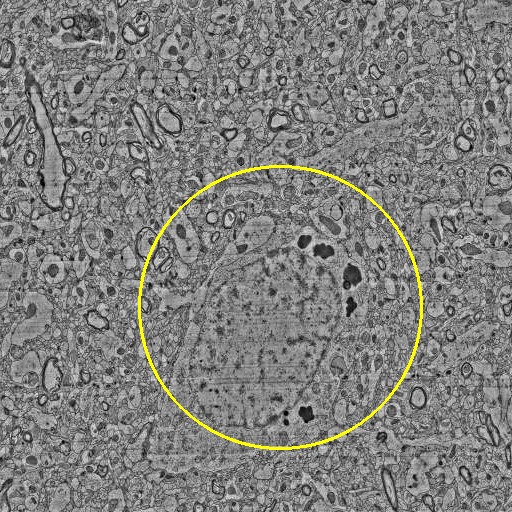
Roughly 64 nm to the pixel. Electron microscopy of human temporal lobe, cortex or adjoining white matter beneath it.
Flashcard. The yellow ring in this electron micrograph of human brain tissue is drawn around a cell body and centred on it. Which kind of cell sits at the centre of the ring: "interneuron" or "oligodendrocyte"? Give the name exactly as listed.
interneuron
